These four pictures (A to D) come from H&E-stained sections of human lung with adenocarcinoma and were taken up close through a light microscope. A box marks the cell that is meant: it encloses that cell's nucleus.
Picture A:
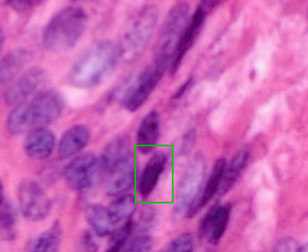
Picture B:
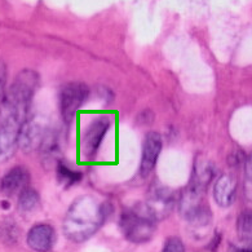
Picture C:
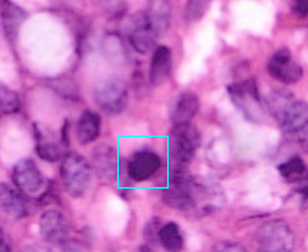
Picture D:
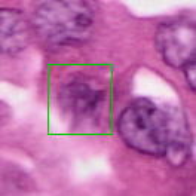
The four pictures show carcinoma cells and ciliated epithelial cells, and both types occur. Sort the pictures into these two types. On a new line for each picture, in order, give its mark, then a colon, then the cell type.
A: ciliated epithelial cell
B: ciliated epithelial cell
C: ciliated epithelial cell
D: carcinoma cell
